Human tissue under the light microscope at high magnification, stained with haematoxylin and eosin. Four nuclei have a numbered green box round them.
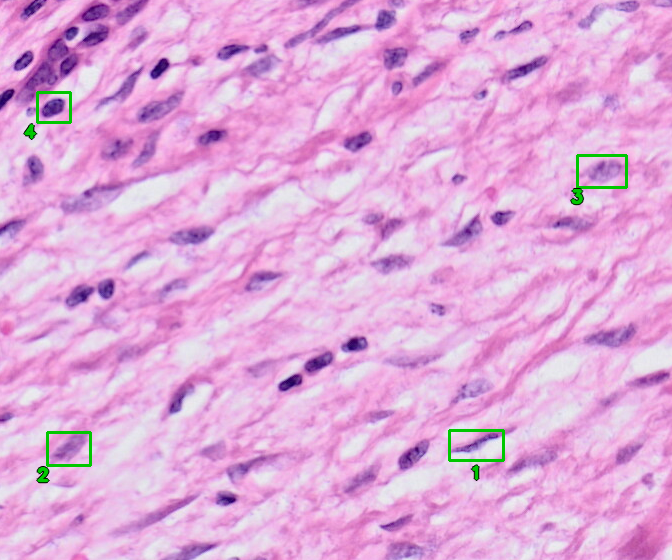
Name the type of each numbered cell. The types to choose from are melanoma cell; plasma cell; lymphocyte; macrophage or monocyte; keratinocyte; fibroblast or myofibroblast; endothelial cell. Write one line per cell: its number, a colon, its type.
1: fibroblast or myofibroblast
2: fibroblast or myofibroblast
3: fibroblast or myofibroblast
4: lymphocyte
